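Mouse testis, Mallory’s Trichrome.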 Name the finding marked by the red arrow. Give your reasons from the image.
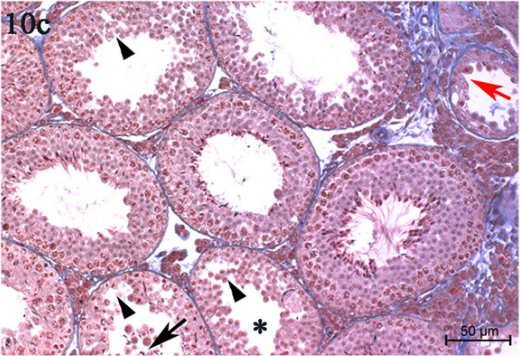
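Degenerative tubule. The marked tubule is small with a thin, sparse epithelium. Its lumen is wide and nearly empty.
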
